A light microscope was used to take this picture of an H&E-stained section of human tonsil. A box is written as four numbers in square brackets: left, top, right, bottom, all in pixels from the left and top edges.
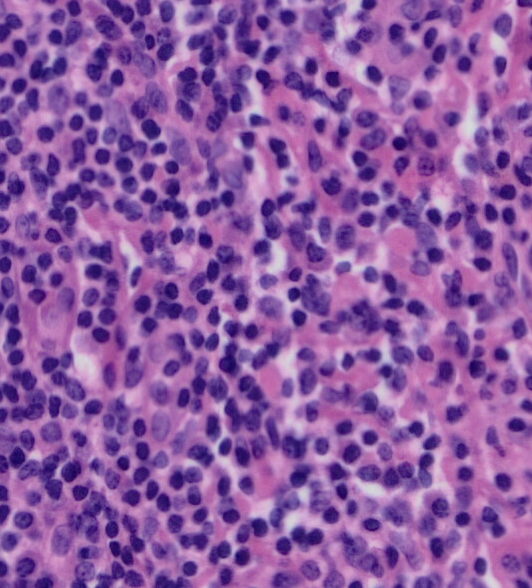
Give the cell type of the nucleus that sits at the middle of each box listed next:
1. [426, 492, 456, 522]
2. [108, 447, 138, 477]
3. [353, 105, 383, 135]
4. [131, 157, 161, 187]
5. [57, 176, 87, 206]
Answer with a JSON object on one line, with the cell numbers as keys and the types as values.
{"1": "plasma cell", "2": "small lymphocyte", "3": "plasma cell", "4": "small lymphocyte", "5": "small lymphocyte"}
